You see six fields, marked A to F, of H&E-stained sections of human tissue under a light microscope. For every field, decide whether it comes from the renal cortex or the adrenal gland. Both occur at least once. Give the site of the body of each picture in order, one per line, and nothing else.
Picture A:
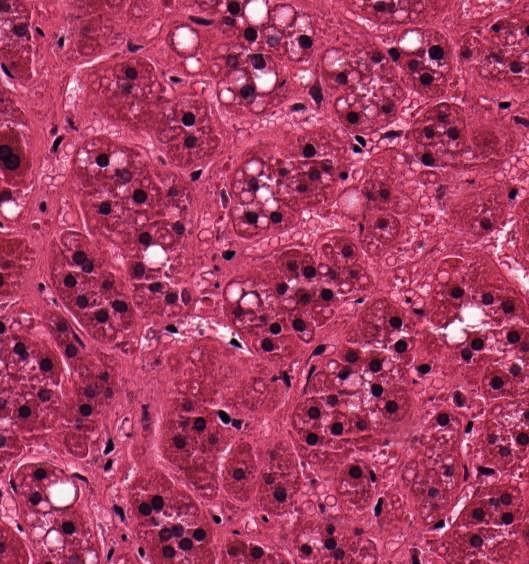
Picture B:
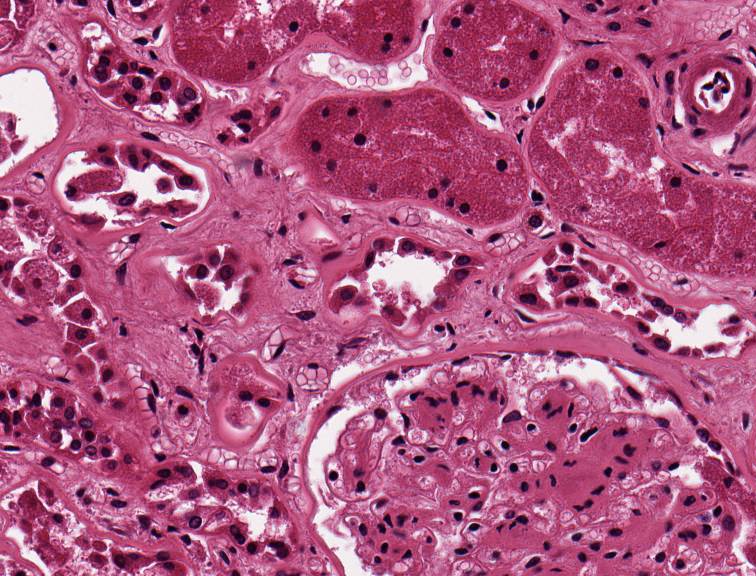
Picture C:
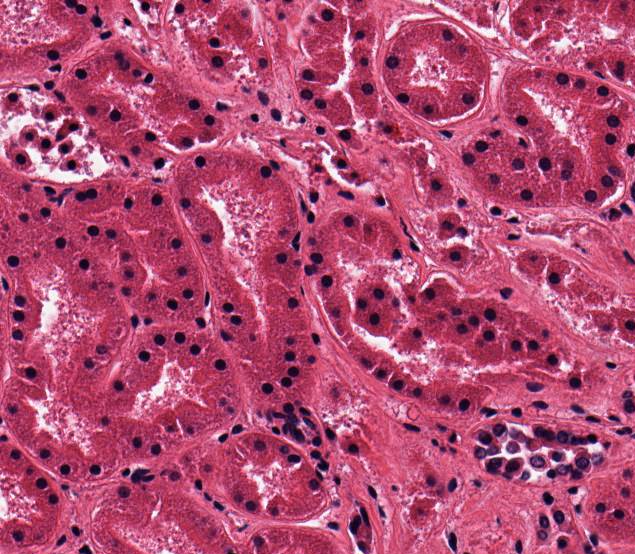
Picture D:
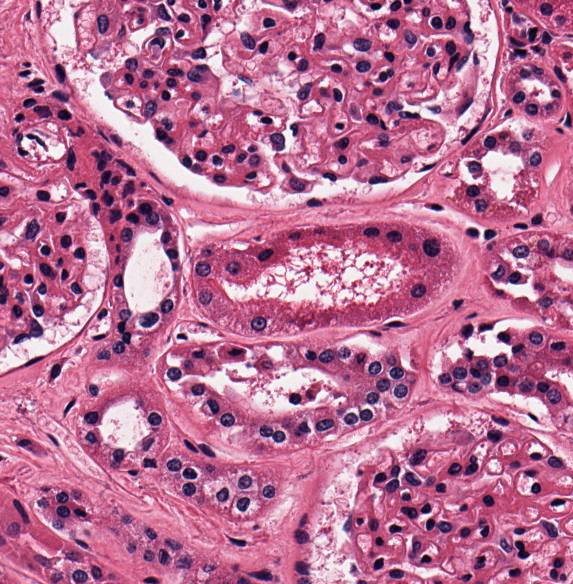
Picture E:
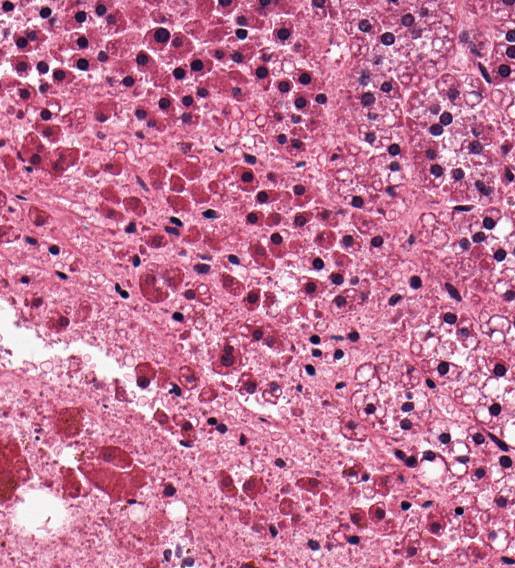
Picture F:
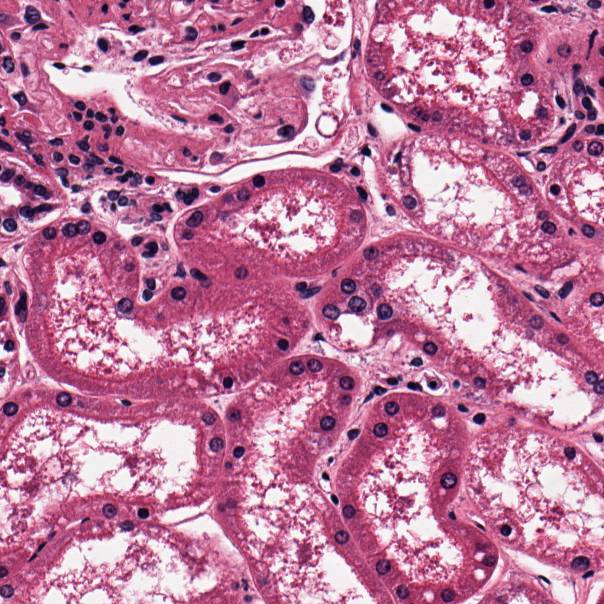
adrenal gland
renal cortex
renal cortex
renal cortex
adrenal gland
renal cortex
